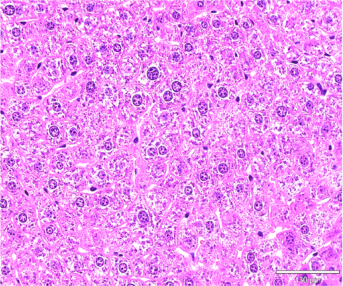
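Liver parenchyma of polygonal hepatocytes with pink cytoplasm and round, centrally placed purple nuclei, some cells binucleate. No clusters of inflammatory cells are seen.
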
